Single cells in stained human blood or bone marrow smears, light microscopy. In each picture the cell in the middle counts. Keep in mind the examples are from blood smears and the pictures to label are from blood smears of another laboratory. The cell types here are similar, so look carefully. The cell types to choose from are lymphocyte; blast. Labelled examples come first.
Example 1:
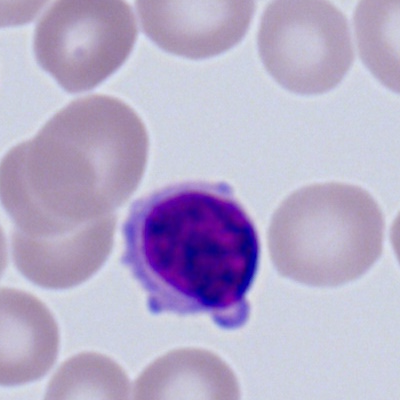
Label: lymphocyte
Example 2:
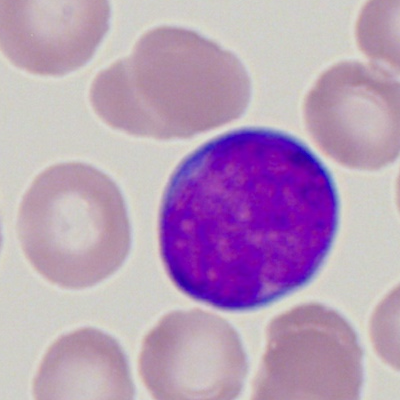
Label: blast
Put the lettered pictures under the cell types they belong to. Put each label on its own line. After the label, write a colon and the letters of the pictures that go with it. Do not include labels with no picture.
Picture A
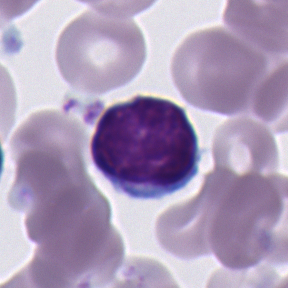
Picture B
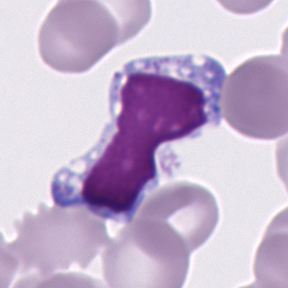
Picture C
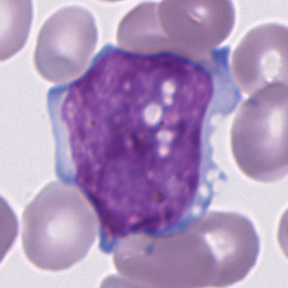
lymphocyte: A, B
blast: C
